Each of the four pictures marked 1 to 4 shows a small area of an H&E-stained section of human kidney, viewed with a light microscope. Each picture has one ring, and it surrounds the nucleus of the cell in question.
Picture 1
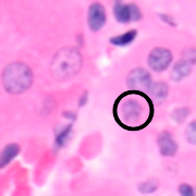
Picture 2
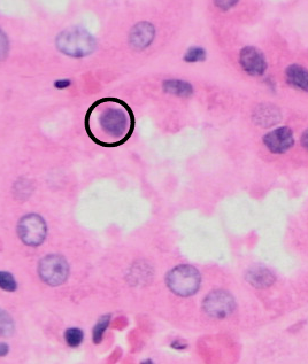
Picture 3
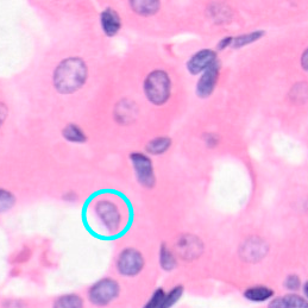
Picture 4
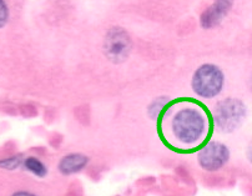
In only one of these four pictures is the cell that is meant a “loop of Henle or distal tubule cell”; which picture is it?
3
